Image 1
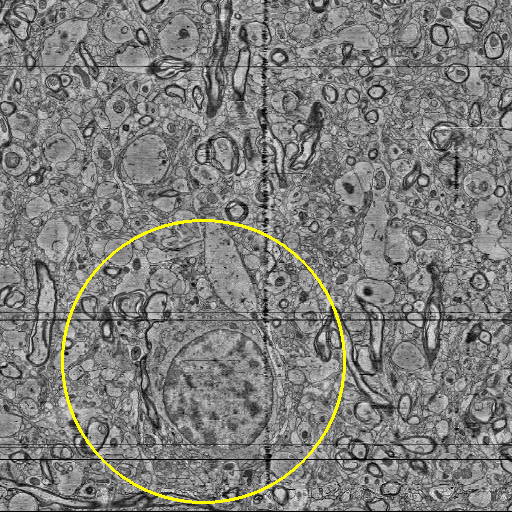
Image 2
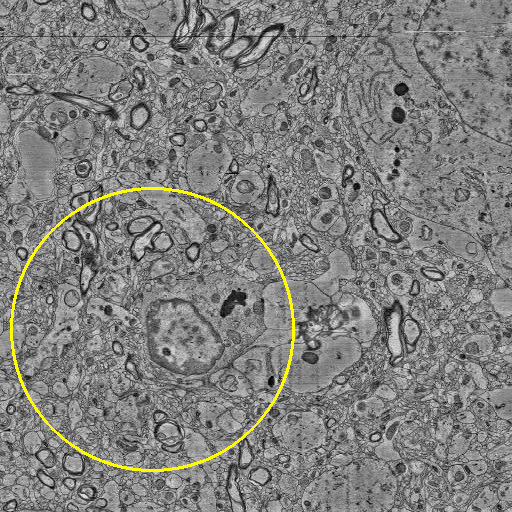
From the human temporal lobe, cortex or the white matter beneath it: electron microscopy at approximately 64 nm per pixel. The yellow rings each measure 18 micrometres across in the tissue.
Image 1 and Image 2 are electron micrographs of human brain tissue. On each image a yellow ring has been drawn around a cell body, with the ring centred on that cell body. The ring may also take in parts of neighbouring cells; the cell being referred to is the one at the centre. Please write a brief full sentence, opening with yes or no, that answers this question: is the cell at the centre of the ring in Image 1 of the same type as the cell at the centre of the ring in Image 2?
Yes, both cells are of the same type.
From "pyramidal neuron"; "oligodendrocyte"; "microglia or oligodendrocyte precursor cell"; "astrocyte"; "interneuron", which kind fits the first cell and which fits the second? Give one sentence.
Each of the ringed cells, first and second, is an oligodendrocyte.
